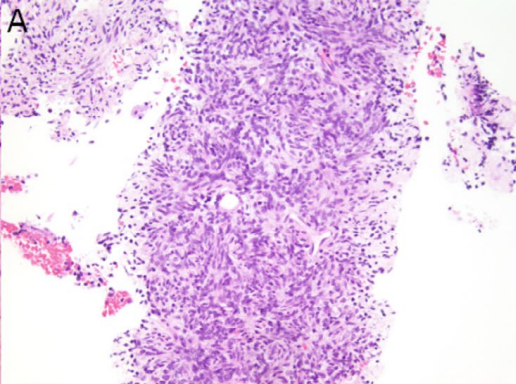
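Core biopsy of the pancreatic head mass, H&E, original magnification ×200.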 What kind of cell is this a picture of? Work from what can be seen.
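A cellular core of tissue made of elongated cells in swirling fascicles. Cell density varies across the core. Small open vessel lumens are scattered among the cells.
Conclusion: spindle shaped neoplastic cells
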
